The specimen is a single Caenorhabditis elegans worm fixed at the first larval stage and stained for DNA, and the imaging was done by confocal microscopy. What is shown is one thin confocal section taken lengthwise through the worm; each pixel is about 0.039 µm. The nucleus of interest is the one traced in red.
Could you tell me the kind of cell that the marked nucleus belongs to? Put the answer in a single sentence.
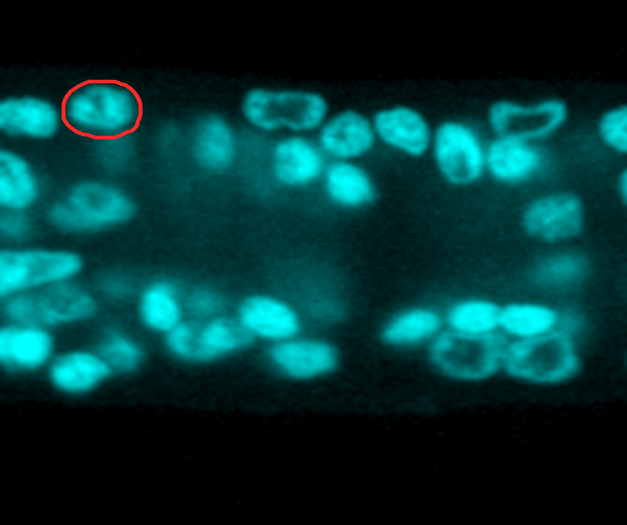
It belongs to a body wall muscle cell.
